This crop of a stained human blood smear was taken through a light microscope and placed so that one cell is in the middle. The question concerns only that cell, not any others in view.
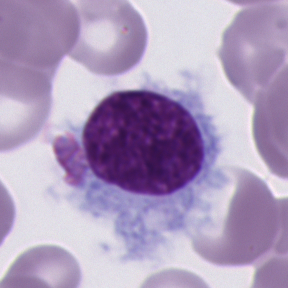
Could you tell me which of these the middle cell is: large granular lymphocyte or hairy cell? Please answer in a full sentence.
Among the cells in view, the one in the middle is a hairy cell.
